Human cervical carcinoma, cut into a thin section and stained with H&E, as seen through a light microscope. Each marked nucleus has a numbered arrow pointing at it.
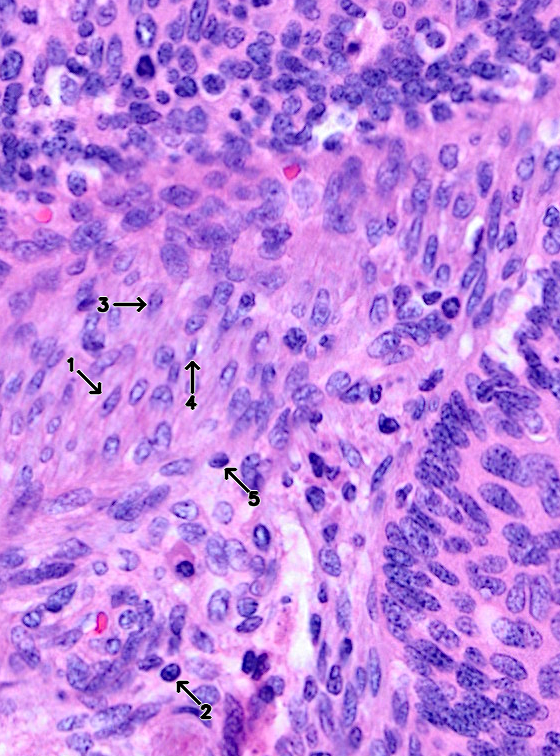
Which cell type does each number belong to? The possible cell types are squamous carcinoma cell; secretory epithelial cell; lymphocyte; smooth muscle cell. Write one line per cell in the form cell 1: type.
cell 1: smooth muscle cell
cell 2: lymphocyte
cell 3: smooth muscle cell
cell 4: smooth muscle cell
cell 5: lymphocyte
